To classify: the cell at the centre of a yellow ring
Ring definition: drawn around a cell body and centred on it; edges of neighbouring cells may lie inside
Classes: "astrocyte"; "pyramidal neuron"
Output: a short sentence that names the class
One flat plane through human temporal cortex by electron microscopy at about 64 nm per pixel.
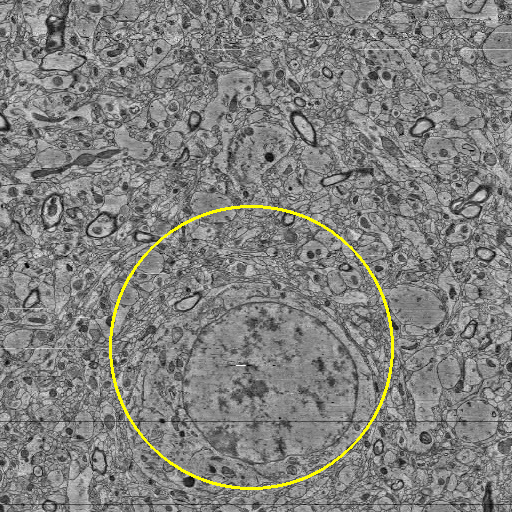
The ringed cell is a pyramidal neuron.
